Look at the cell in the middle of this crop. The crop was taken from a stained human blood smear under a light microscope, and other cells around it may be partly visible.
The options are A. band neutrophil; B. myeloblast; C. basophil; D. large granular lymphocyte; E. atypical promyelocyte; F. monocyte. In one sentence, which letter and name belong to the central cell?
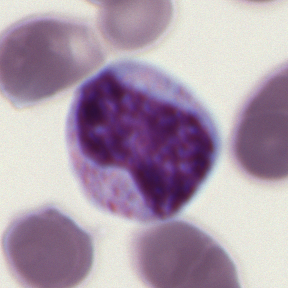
The correct option is A, as the central cell is a band neutrophil.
